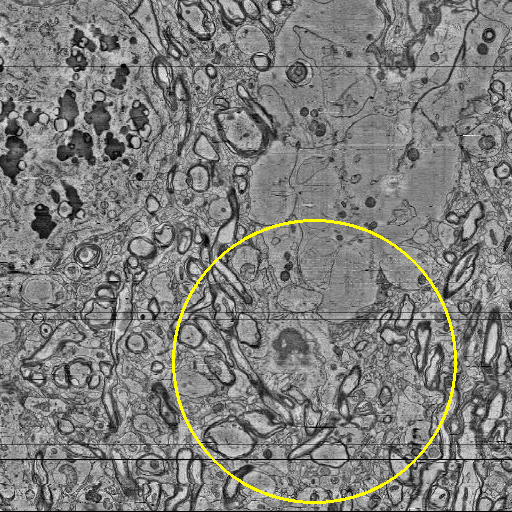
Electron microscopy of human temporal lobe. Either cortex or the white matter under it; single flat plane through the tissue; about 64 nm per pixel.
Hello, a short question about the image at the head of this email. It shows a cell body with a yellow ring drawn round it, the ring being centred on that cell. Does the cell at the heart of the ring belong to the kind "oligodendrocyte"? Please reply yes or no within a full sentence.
No, the cell at the heart of the ring in that image is of a different kind.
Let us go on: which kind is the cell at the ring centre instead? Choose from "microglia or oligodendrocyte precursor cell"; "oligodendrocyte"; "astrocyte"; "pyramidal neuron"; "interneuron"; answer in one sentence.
What the ring is centred on is a microglial cell or oligodendrocyte precursor cell.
